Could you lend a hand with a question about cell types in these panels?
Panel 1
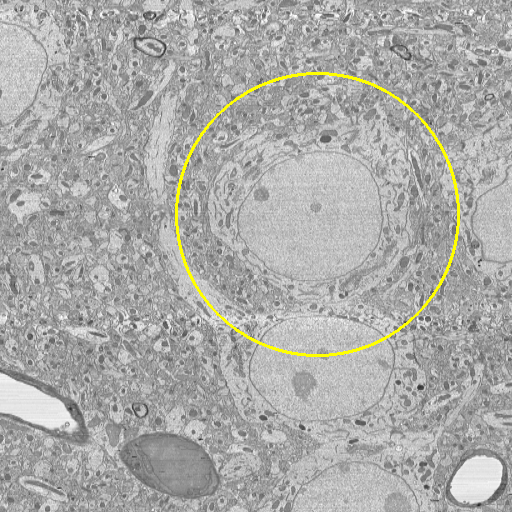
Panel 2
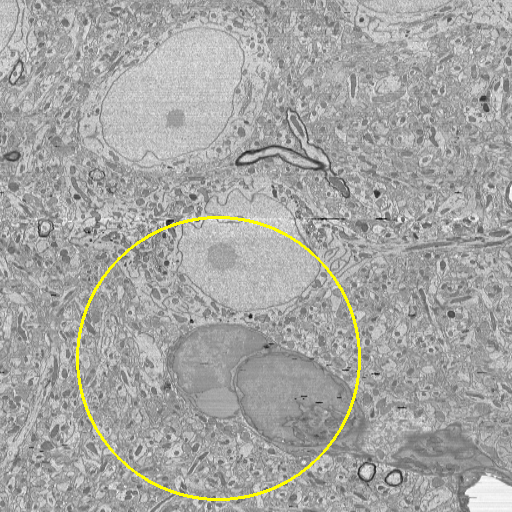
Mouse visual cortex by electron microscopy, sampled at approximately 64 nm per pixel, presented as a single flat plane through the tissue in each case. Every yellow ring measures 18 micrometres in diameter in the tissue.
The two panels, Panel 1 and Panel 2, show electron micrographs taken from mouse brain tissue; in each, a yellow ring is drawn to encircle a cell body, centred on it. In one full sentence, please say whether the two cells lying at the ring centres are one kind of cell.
No, the cells at the ring centres in the two panels are two kinds of cell.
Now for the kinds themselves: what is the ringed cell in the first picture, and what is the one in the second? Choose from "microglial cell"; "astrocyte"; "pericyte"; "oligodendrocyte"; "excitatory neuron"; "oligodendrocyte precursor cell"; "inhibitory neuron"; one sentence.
Here the first cell is an excitatory neuron and the second cell is a microglial cell.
